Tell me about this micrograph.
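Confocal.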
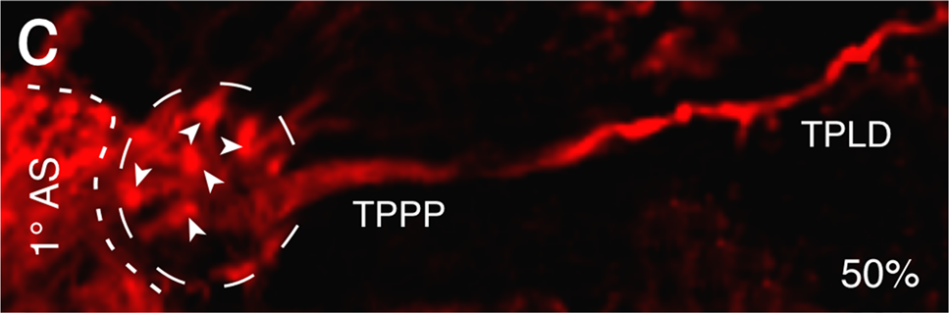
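A thin bundle of axons runs from the right toward a dense terminal region on the left, next to a larger bright band of fibres. In the terminal region the axons branch into a dense arborization studded with small bright blebs.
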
